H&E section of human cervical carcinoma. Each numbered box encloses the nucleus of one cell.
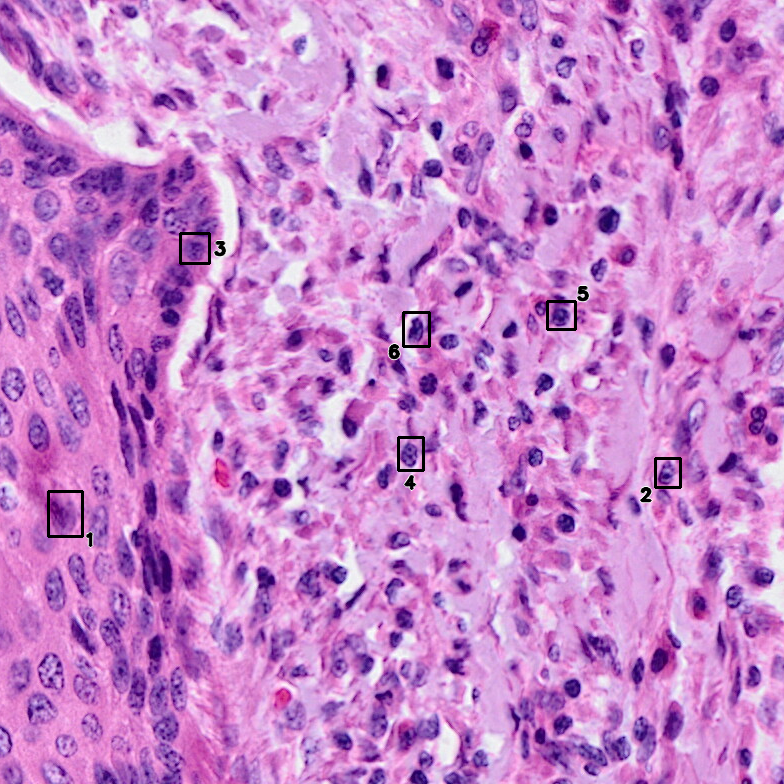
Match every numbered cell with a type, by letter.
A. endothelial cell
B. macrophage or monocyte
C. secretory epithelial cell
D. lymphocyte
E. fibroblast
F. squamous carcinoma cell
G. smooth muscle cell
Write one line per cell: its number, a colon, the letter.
1: F
2: D
3: F
4: D
5: D
6: D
